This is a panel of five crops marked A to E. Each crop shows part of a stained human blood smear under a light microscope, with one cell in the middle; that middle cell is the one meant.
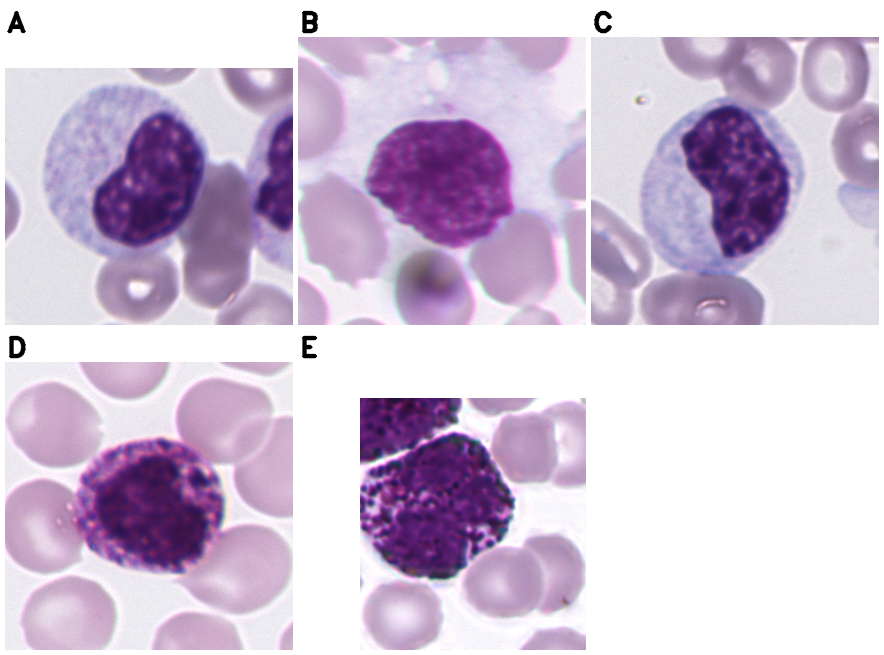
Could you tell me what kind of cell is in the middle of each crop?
A: metamyelocyte
B: hairy cell
C: metamyelocyte
D: basophil
E: basophil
